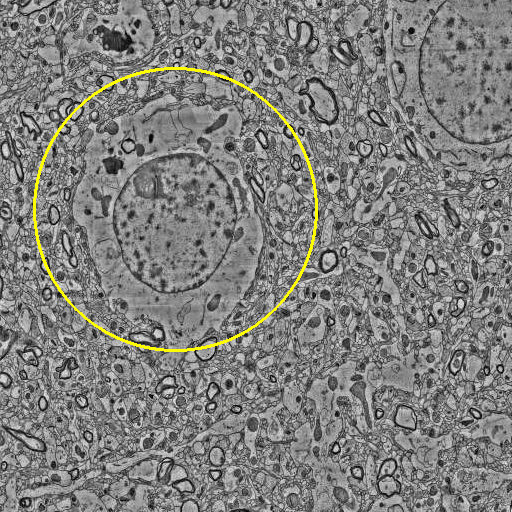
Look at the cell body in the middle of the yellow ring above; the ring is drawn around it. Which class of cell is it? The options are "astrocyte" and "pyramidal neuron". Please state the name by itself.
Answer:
astrocyte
